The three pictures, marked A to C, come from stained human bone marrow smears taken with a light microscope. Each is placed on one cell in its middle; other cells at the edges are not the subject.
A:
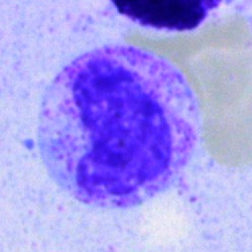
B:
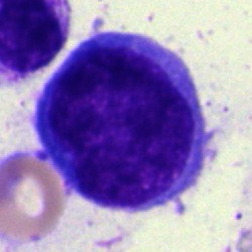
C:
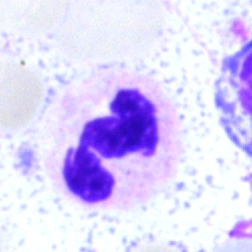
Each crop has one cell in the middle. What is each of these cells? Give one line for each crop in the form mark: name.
A: metamyelocyte
B: blast
C: segmented neutrophil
